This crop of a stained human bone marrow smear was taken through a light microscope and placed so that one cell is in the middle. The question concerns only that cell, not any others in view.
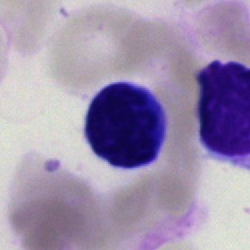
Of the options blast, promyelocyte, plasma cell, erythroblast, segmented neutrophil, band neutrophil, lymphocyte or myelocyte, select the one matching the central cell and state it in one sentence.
This crop has a lymphocyte at its centre.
